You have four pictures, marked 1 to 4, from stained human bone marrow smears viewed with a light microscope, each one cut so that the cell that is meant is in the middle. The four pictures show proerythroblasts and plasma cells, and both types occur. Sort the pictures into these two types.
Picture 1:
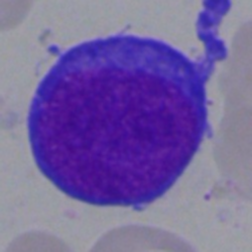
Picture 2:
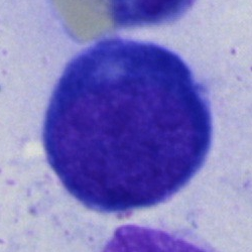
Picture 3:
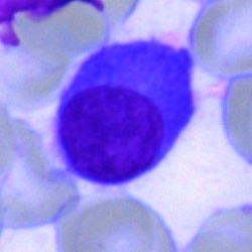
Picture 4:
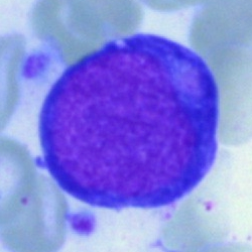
1: proerythroblast
2: proerythroblast
3: plasma cell
4: proerythroblast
